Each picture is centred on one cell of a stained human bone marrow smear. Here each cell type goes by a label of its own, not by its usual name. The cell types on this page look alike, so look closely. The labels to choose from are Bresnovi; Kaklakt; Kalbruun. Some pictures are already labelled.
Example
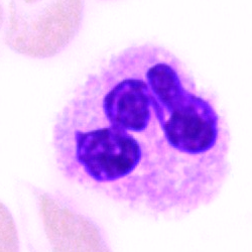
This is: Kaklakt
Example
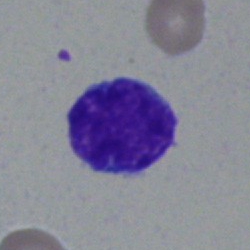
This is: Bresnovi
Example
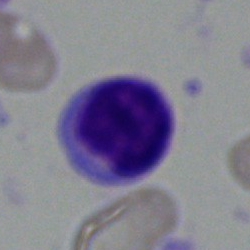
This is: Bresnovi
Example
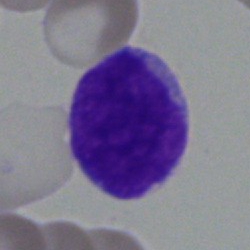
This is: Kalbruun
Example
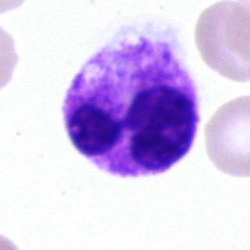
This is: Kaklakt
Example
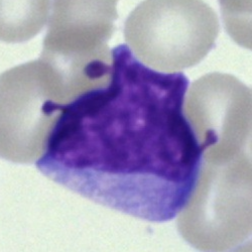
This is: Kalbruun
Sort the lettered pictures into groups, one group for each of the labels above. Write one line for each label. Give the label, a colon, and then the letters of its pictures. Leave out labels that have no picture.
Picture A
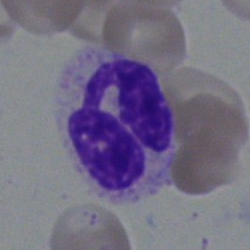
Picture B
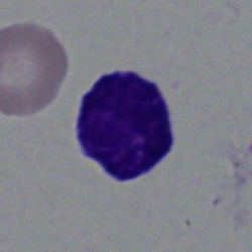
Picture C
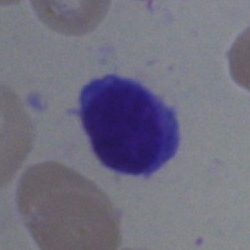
Bresnovi: C
Kaklakt: A
Kalbruun: B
